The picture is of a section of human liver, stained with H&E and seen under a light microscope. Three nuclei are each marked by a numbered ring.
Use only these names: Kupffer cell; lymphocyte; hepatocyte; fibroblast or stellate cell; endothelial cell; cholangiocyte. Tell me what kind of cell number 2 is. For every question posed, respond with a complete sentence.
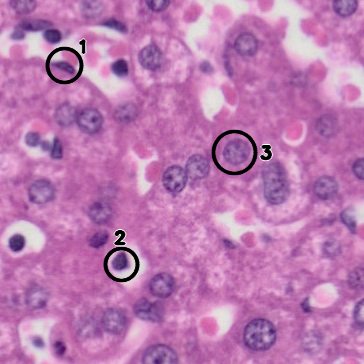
The cell referred to as 2 is a lymphocyte.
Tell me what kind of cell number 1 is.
Classified as an endothelial cell is the cell with the number 1.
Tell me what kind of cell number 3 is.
The numbered cell 3 in this field is a hepatocyte.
